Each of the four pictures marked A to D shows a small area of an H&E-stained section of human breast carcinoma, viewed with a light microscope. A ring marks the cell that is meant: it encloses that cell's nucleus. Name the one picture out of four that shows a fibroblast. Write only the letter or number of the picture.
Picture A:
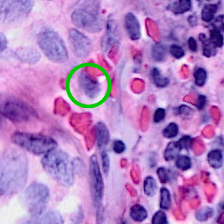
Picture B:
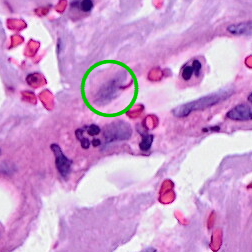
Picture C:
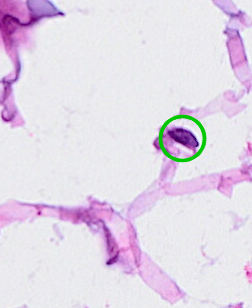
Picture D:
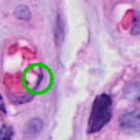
C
